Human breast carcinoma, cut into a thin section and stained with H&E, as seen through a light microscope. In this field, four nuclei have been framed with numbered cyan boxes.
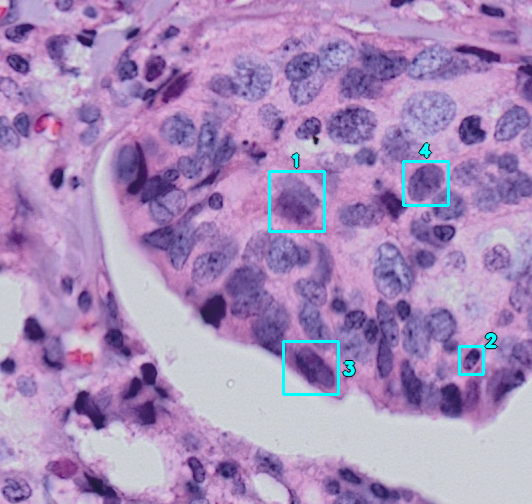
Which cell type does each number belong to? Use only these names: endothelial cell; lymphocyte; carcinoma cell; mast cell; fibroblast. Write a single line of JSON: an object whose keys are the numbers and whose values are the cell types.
{"1": "carcinoma cell", "2": "lymphocyte", "3": "carcinoma cell", "4": "carcinoma cell"}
